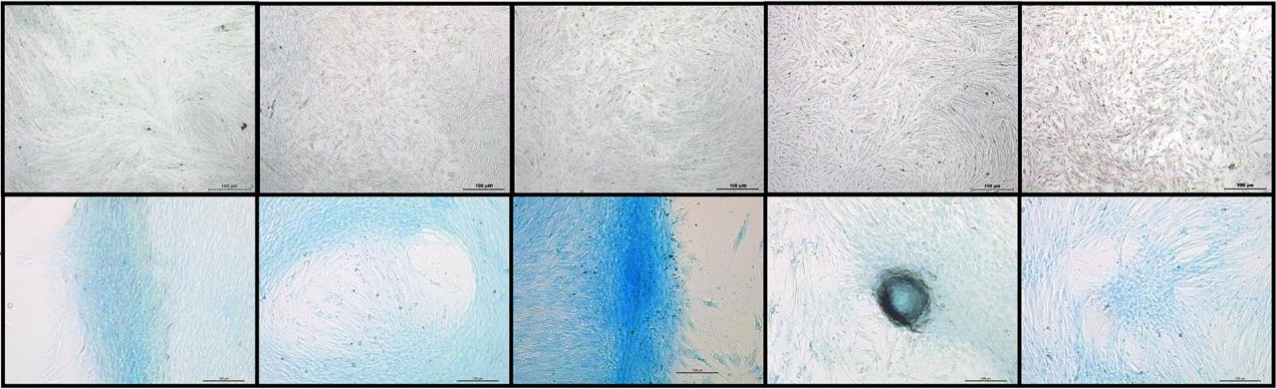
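Cultured cells of the upper row form dense monolayers of slender, spindle-shaped cells aligned in parallel streams and show almost no blue colour. In the lower row the cultures carry light to deep blue colour, concentrated in dense bands or patches of crowded cells, and in one image in a compact dark-rimmed round nodule surrounded by paler blue spindle-shaped cells.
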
